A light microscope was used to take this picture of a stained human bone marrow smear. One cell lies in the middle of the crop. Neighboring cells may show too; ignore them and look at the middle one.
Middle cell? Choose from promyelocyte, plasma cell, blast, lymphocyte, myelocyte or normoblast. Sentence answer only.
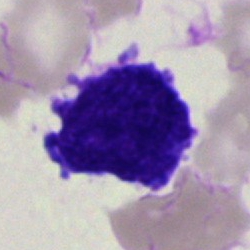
In the center of this field lies a blast.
